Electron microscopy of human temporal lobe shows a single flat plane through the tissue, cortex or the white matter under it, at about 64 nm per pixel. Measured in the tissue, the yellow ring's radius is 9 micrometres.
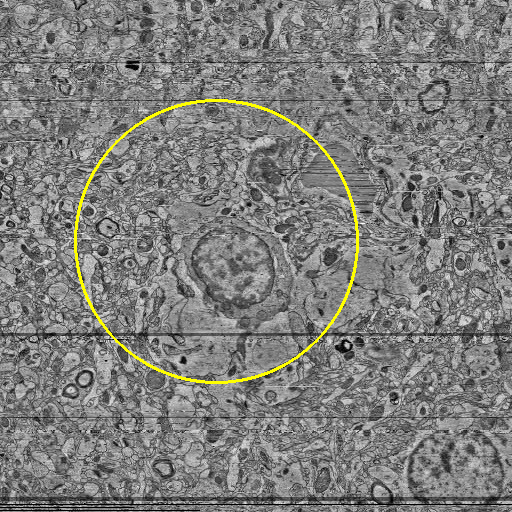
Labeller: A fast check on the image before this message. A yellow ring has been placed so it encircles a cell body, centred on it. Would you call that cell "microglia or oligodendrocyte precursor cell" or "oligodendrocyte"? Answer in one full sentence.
In this image, an oligodendrocyte is the cell on which the yellow ring is centred.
